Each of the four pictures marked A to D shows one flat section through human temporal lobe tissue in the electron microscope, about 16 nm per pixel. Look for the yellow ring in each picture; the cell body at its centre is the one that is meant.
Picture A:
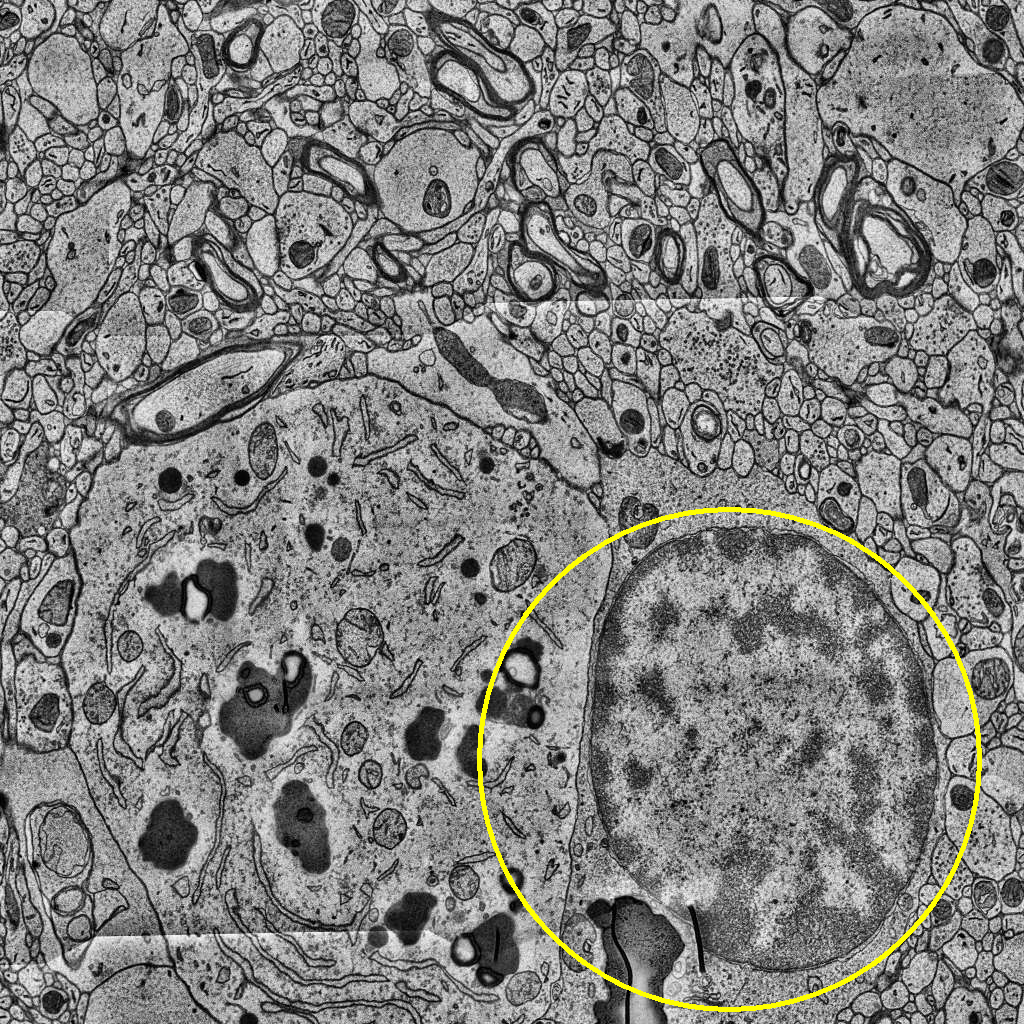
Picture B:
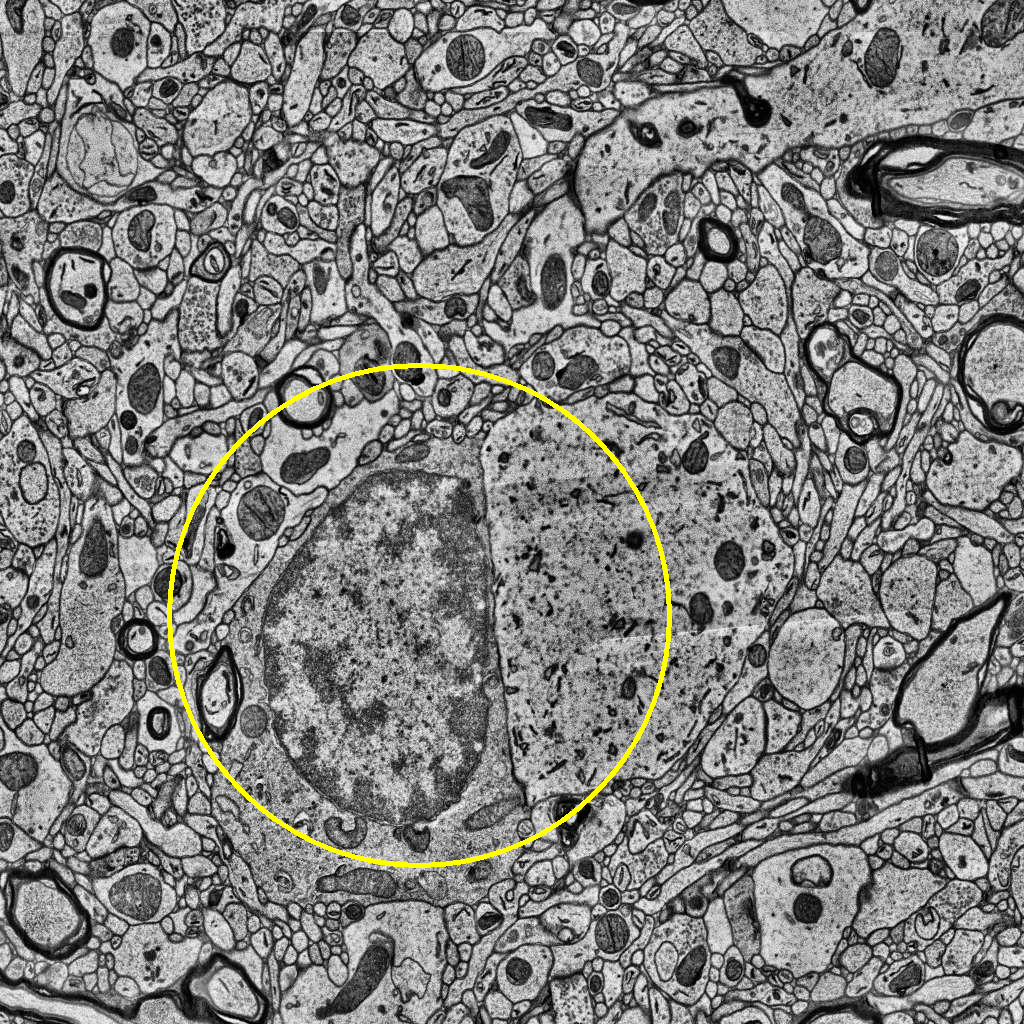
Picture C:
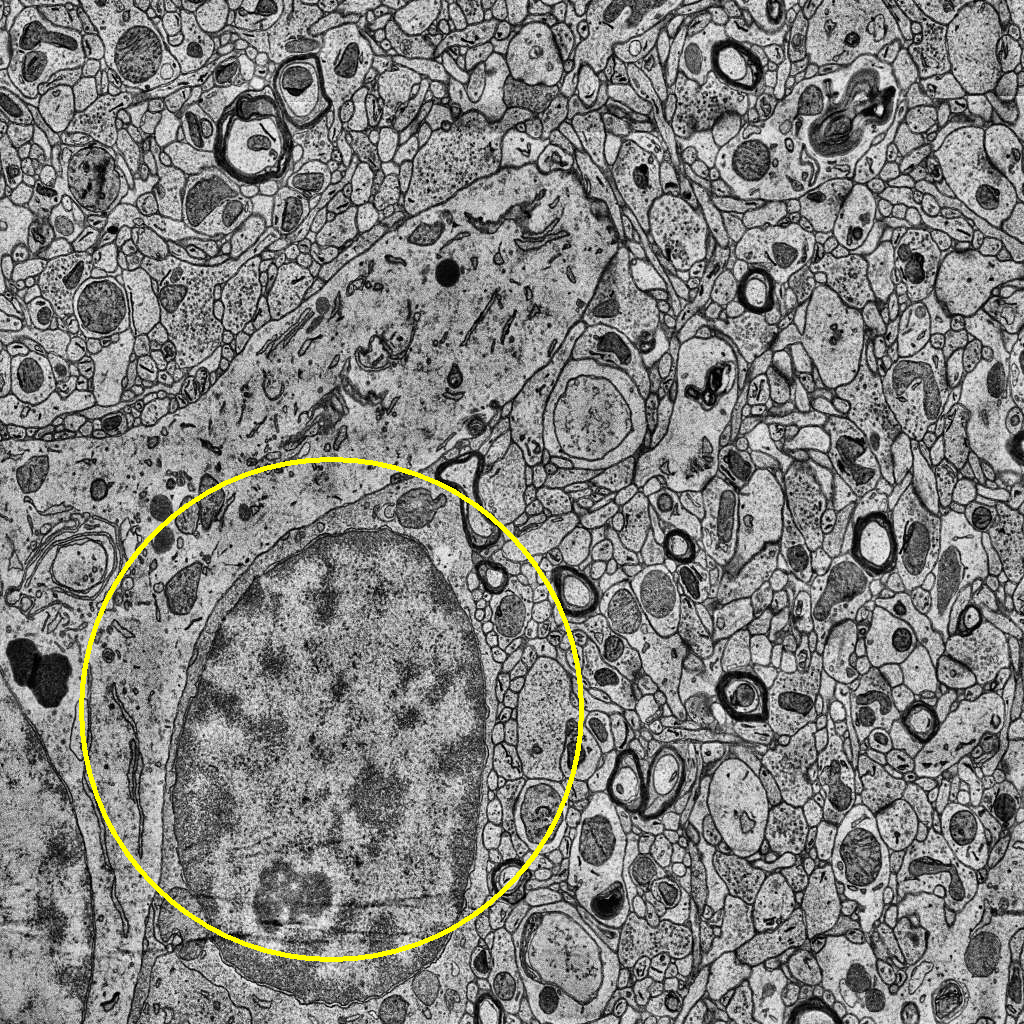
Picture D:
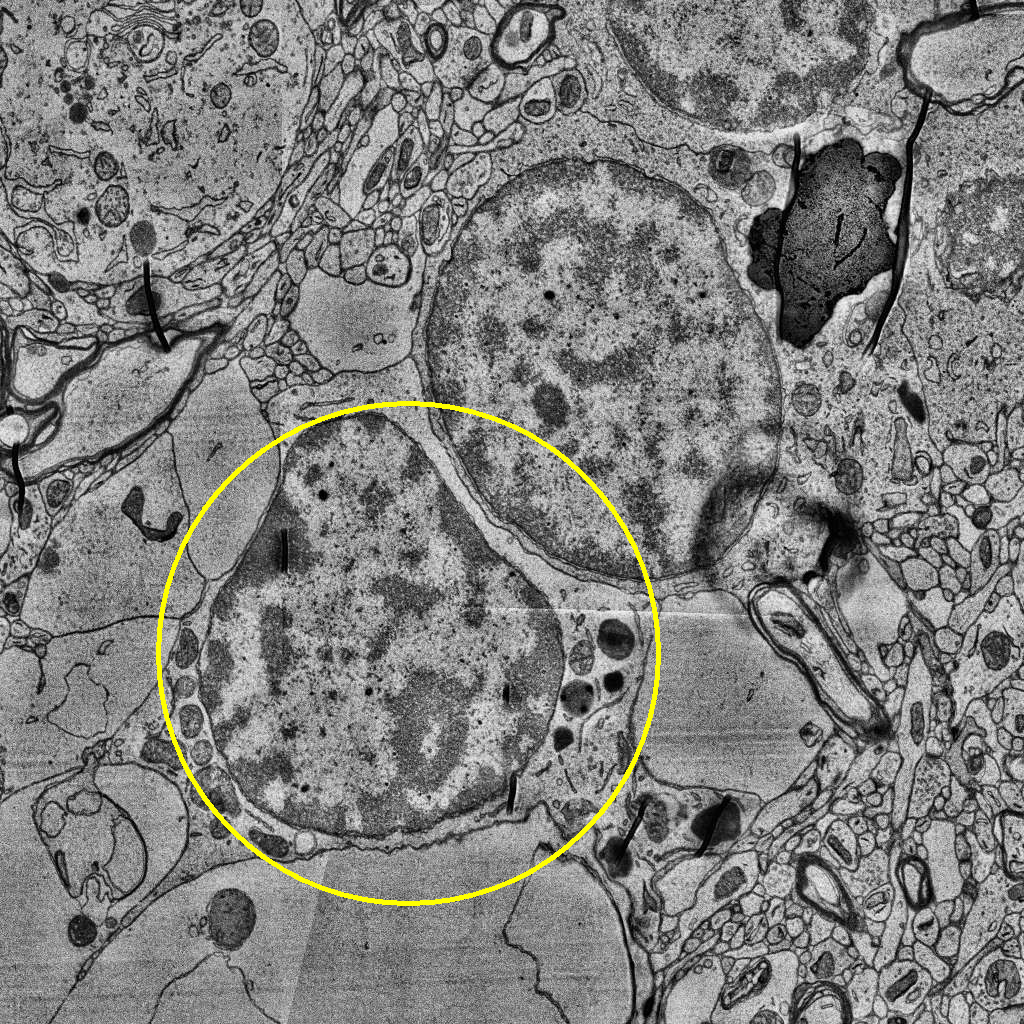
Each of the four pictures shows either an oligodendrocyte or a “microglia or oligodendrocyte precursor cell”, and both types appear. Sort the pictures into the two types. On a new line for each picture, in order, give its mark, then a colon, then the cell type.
A: oligodendrocyte
B: oligodendrocyte
C: oligodendrocyte
D: microglia or oligodendrocyte precursor cell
